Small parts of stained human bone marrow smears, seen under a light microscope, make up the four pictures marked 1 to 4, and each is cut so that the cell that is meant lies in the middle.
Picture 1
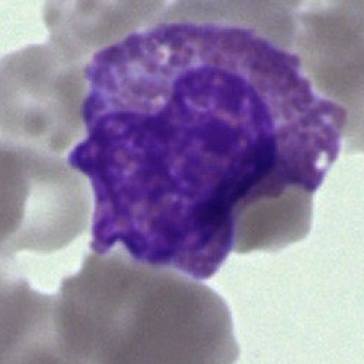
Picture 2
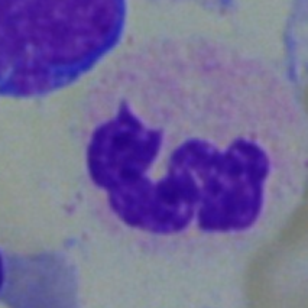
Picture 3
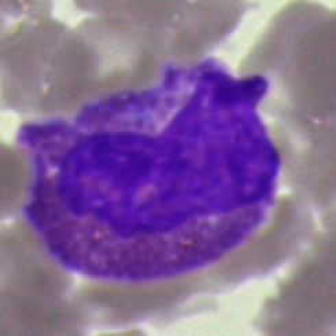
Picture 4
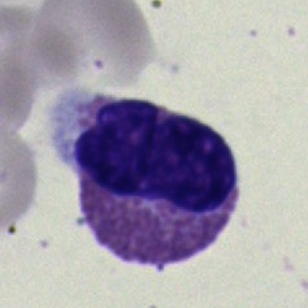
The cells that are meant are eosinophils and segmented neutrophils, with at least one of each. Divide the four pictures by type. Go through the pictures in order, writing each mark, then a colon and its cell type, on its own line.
1: eosinophil
2: segmented neutrophil
3: eosinophil
4: eosinophil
